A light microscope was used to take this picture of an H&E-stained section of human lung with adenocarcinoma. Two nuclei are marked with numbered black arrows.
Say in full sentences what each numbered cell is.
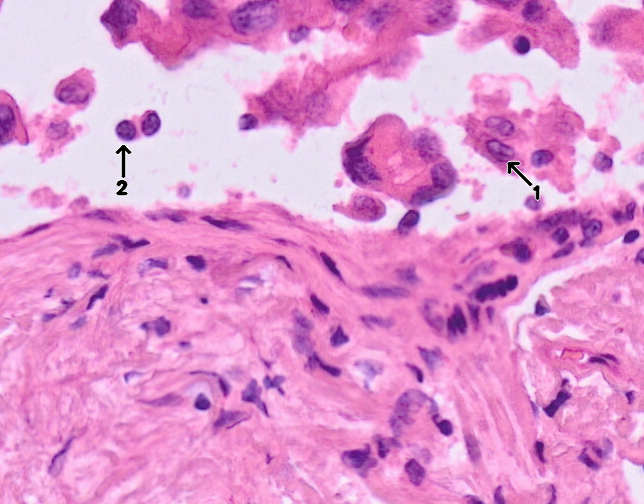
Cell 1 is a macrophage or monocyte and cell 2 is a lymphocyte.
